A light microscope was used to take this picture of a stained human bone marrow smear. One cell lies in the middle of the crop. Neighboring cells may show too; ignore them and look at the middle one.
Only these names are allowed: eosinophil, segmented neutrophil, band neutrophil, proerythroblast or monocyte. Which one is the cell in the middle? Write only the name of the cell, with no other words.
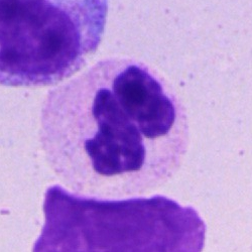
segmented neutrophil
